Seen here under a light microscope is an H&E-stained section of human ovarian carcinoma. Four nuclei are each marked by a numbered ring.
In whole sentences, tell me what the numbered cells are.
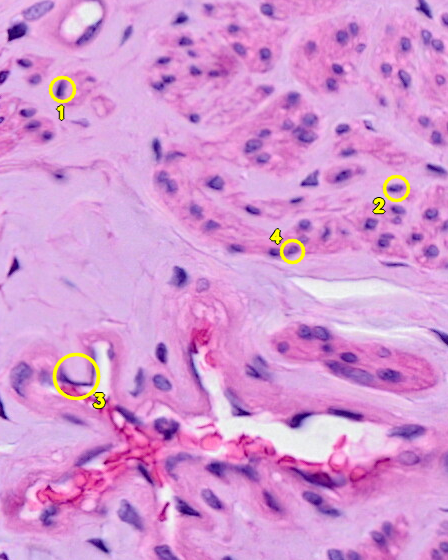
Cell 1 is a smooth muscle cell, cell 2 is a smooth muscle cell, cell 3 is an endothelial cell and cell 4 is a smooth muscle cell.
